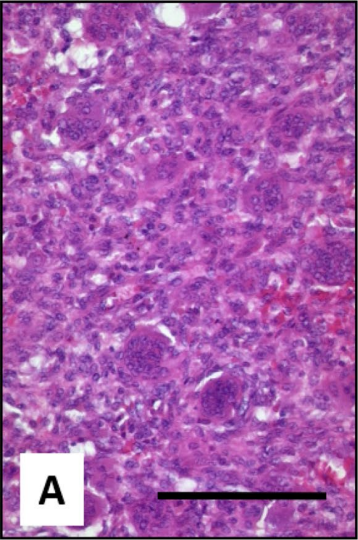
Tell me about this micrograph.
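Densely cellular tissue in pink and purple shows many large cells with dozens of crowded nuclei in pink cytoplasm, evenly scattered among sheets of small oval single-nucleus cells. These are osteoclastic giant cells with intermingled mononuclear cells, the typical picture of giant cell tumour of bone.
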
